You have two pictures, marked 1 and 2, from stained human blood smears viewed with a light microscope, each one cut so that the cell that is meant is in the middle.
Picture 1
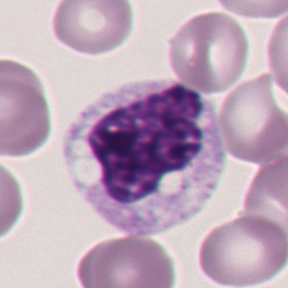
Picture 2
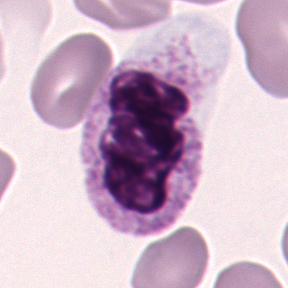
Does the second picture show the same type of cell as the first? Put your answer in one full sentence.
Yes, they are the same type: both are segmented neutrophils.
